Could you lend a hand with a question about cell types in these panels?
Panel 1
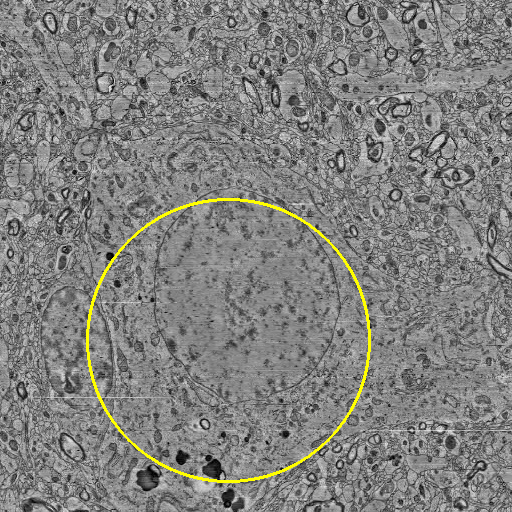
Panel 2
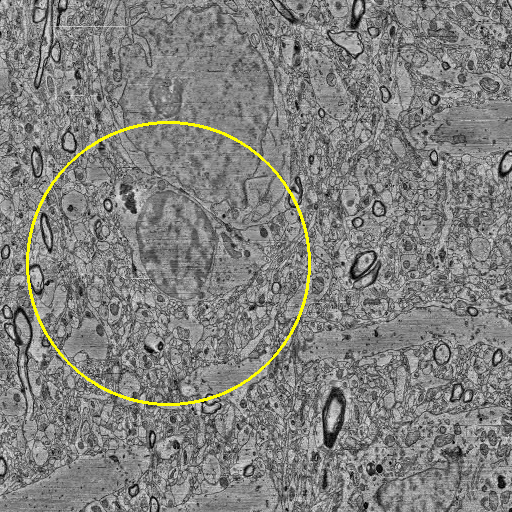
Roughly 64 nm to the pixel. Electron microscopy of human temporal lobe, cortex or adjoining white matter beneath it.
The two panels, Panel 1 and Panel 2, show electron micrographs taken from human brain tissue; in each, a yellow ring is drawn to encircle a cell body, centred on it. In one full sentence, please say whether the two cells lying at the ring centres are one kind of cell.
No, the cells at the ring centres in the two panels are two kinds of cell.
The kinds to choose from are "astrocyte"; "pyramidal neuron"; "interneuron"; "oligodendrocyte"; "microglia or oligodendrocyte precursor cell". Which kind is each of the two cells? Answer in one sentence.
Of the two, the first cell is a pyramidal neuron and the second cell is an oligodendrocyte.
